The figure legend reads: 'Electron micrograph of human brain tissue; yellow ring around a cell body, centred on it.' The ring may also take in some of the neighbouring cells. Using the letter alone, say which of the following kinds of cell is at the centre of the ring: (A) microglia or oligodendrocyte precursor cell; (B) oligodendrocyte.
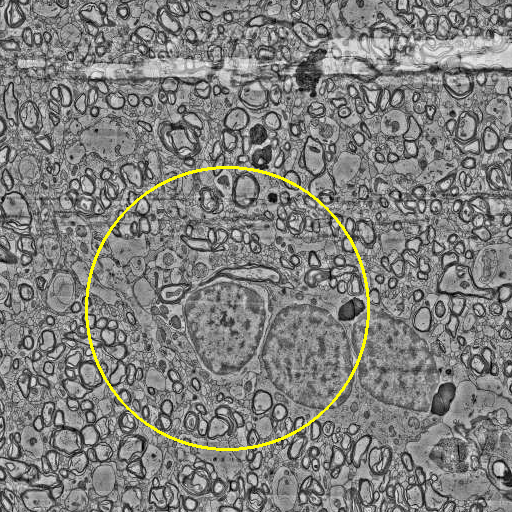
A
